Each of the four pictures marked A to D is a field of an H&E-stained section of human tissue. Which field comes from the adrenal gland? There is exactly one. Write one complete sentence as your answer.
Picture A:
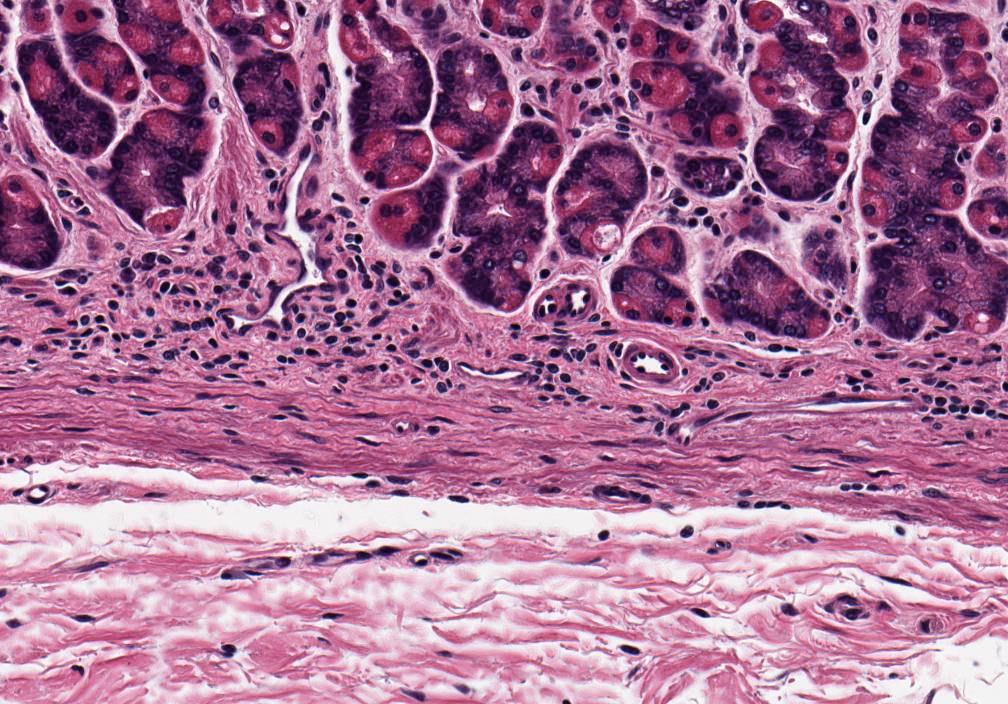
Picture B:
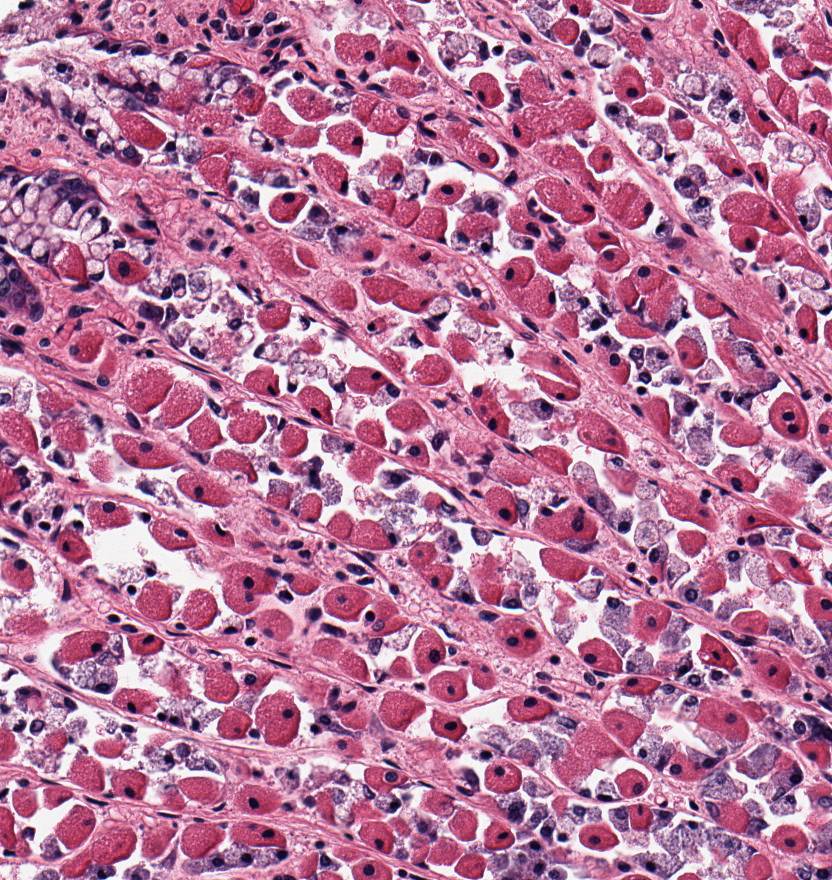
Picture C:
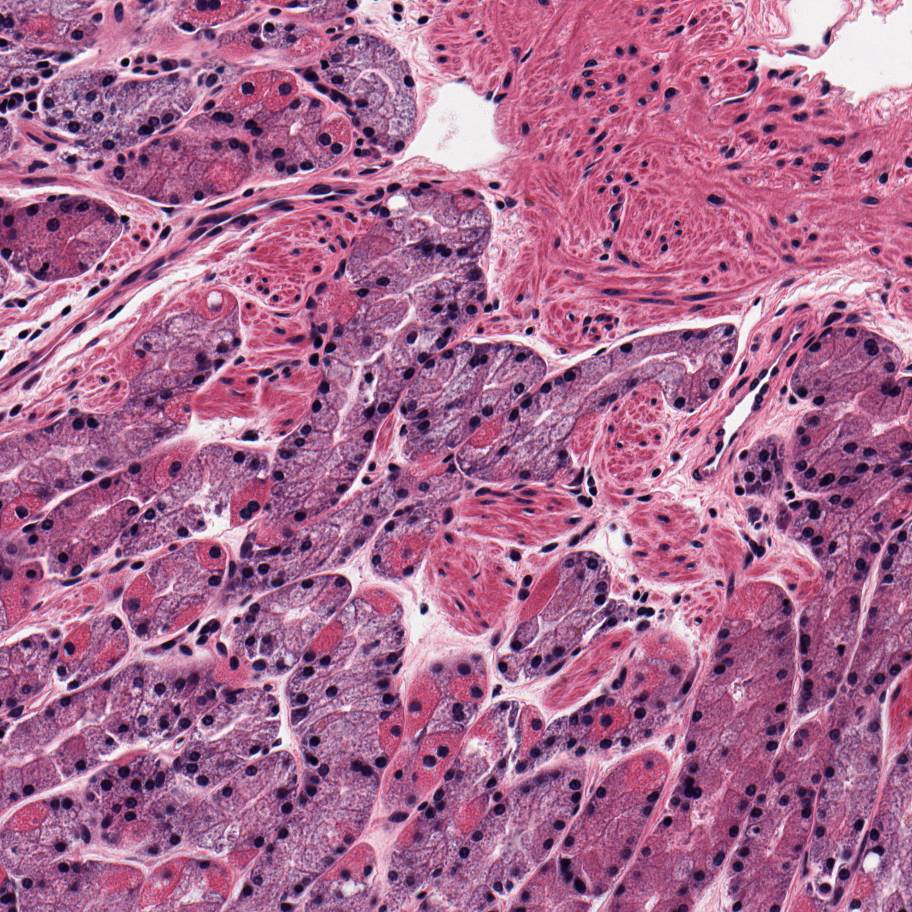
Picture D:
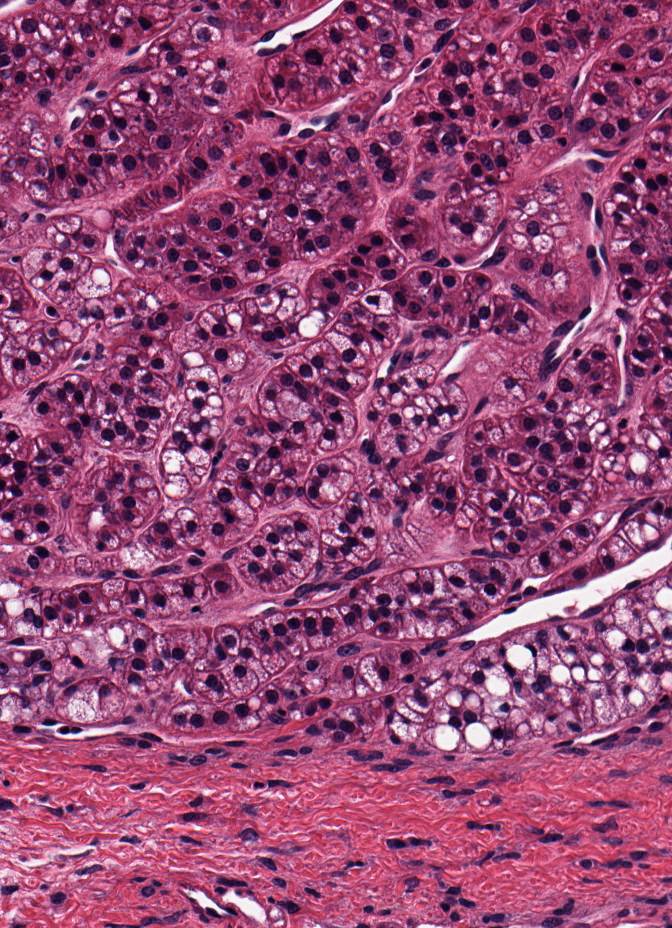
The one that comes from the adrenal gland is picture D.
